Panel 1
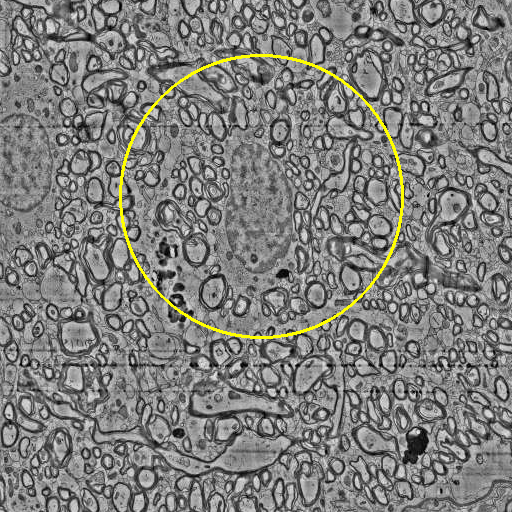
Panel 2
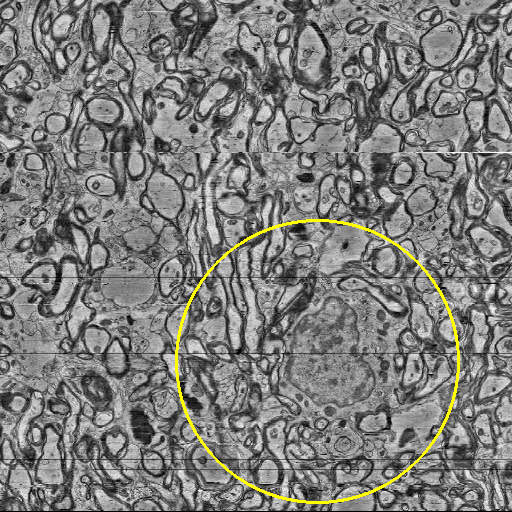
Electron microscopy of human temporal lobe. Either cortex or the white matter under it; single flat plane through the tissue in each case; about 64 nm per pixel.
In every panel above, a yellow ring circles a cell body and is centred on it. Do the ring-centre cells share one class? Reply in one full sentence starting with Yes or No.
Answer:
Yes, the two cells at the ring centres in the panels belong to one class.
